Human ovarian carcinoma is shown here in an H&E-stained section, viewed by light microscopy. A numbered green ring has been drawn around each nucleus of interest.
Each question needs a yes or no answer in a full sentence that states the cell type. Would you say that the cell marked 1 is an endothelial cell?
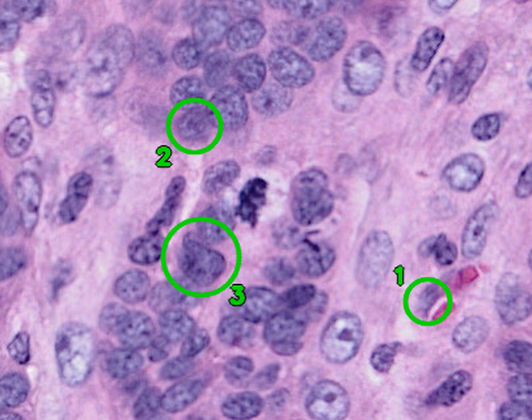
Yes, correct, the cell with the number 1 is an endothelial cell.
